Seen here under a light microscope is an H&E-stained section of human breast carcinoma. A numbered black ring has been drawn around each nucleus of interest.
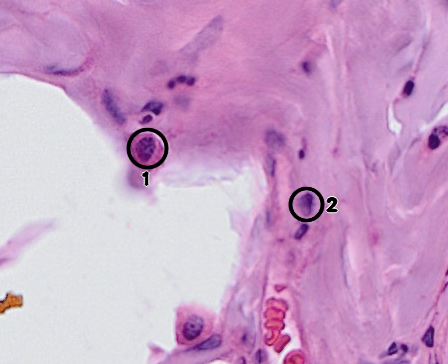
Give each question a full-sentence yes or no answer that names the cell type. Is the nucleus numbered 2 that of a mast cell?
No, cell 2, which is a fibroblast, is not a mast cell.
